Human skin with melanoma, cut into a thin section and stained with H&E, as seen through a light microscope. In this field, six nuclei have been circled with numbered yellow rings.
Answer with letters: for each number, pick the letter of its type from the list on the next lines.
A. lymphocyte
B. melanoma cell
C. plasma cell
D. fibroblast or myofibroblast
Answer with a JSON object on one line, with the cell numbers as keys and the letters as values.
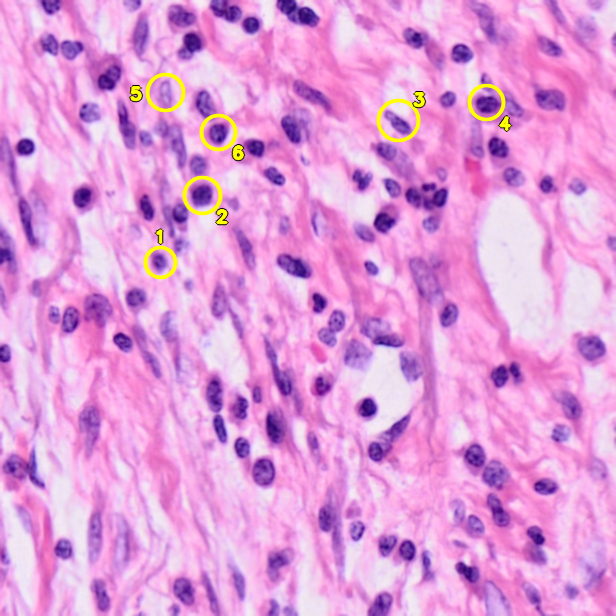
{"1": "C", "2": "C", "3": "A", "4": "C", "5": "D", "6": "C"}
